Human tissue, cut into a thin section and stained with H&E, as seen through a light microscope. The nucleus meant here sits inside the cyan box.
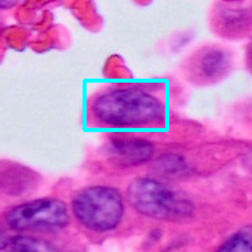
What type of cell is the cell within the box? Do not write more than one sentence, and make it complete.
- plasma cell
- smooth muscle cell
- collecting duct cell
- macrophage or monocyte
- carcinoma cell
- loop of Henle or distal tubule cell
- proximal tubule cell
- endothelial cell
Cell type answer for this item: the cell within the box is a carcinoma cell.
